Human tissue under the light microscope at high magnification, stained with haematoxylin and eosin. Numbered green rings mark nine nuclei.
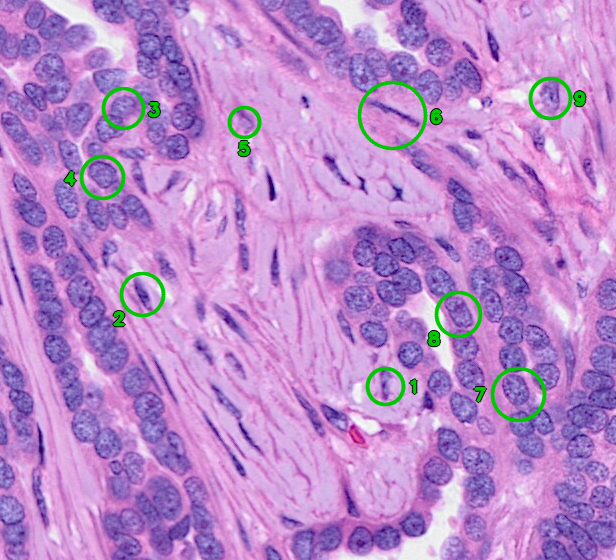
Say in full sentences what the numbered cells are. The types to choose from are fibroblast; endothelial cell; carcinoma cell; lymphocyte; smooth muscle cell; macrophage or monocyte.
Cell 1 is a fibroblast, cell 2 is a fibroblast, cell 3 is a carcinoma cell, cell 4 is a carcinoma cell, cell 5 is a fibroblast, cell 6 is a fibroblast, cell 7 is a carcinoma cell, cell 8 is a carcinoma cell and cell 9 is a fibroblast.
